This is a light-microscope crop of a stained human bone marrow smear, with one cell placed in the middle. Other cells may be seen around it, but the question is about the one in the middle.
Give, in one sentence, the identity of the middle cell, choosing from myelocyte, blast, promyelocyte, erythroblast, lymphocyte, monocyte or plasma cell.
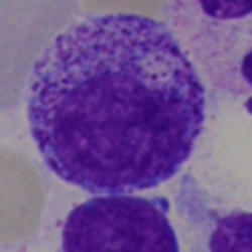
The cell the crop is centered on is a myelocyte.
